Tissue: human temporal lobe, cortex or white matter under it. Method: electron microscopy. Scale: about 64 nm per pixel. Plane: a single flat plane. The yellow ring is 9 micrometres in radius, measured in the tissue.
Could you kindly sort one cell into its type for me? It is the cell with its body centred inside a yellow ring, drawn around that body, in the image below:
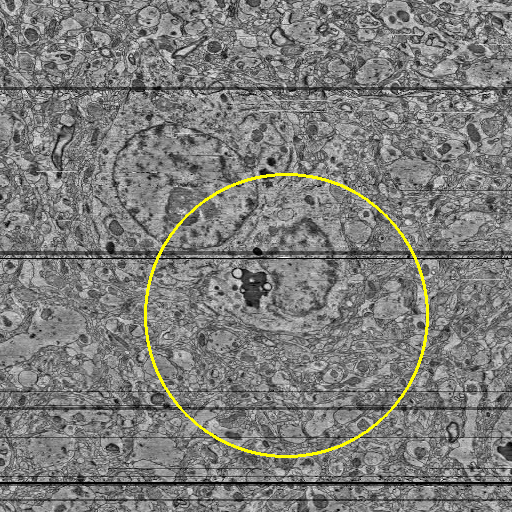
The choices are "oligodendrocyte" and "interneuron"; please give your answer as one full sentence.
The cell whose body lies centred in the yellow ring here is an interneuron.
